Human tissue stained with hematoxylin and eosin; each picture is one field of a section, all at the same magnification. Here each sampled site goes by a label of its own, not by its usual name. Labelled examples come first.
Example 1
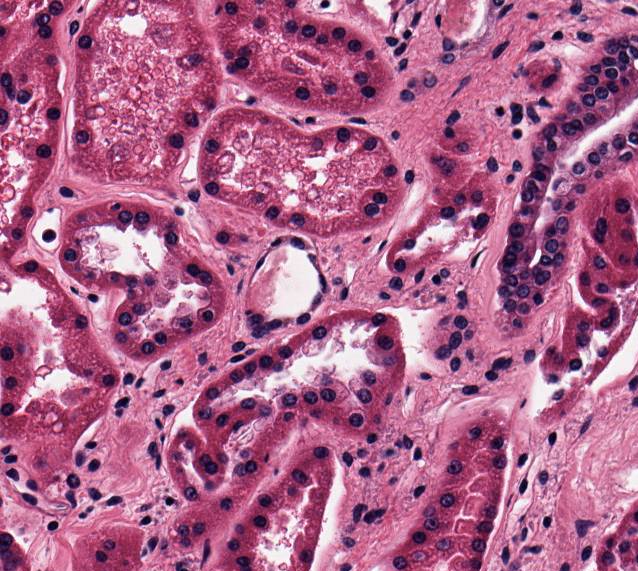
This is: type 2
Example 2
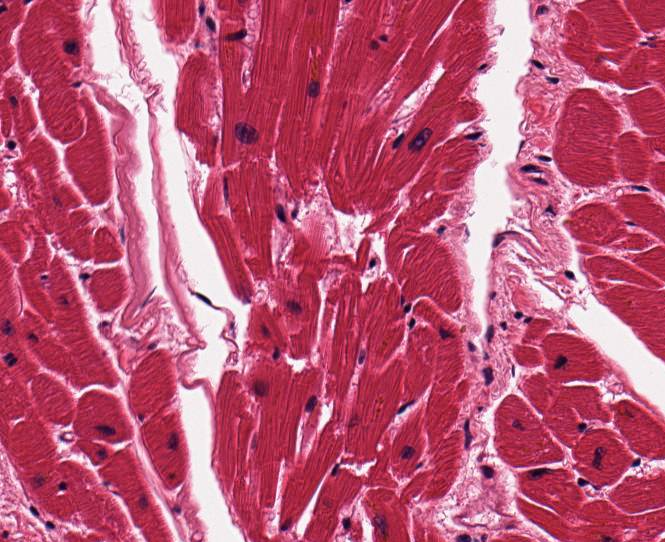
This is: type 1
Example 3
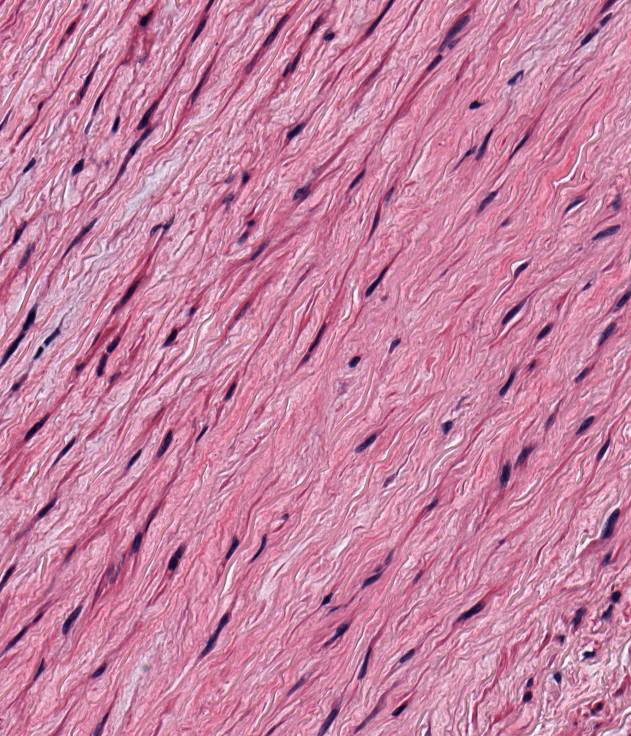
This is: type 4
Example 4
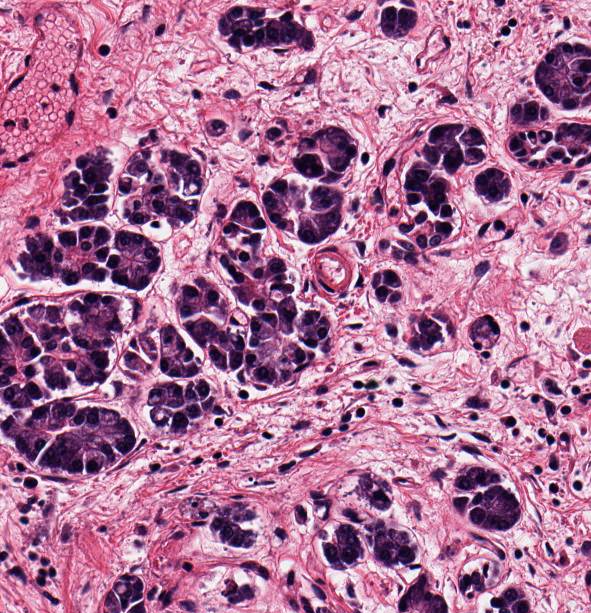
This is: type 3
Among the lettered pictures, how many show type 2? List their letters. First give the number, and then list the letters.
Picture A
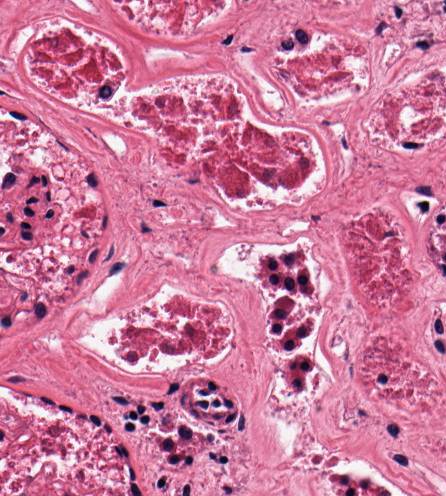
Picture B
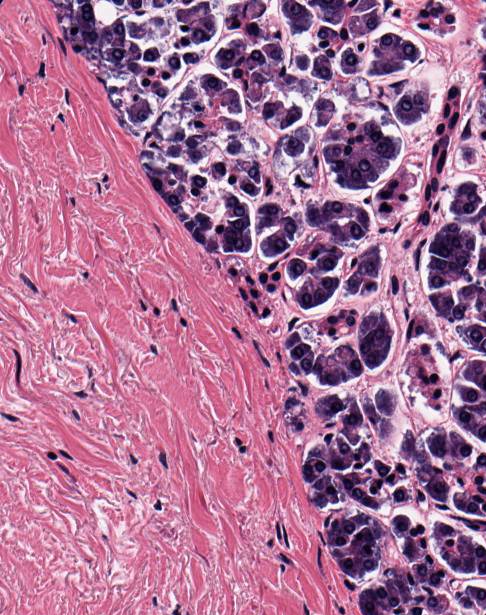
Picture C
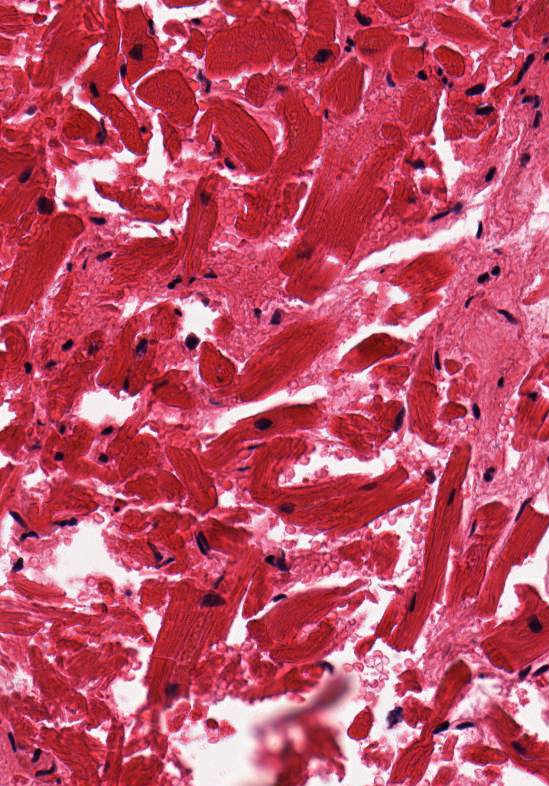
Count: 1 (A)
